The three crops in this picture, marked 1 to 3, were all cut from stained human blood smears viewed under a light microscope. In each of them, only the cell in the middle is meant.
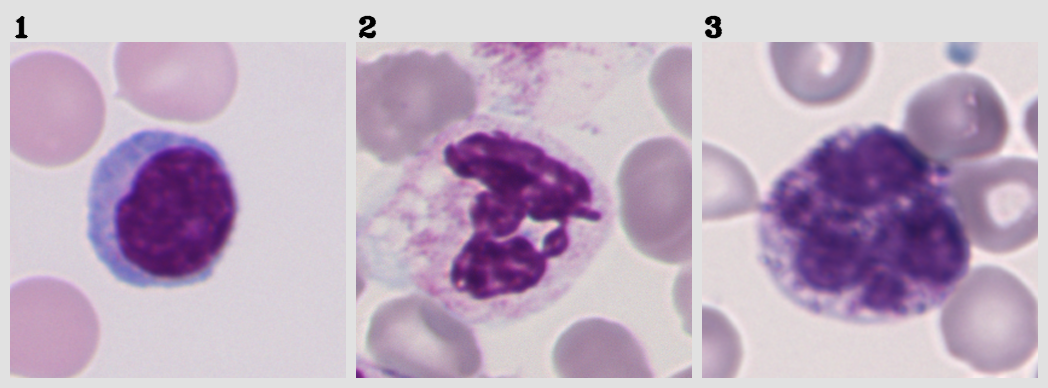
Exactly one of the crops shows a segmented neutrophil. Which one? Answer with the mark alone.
2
